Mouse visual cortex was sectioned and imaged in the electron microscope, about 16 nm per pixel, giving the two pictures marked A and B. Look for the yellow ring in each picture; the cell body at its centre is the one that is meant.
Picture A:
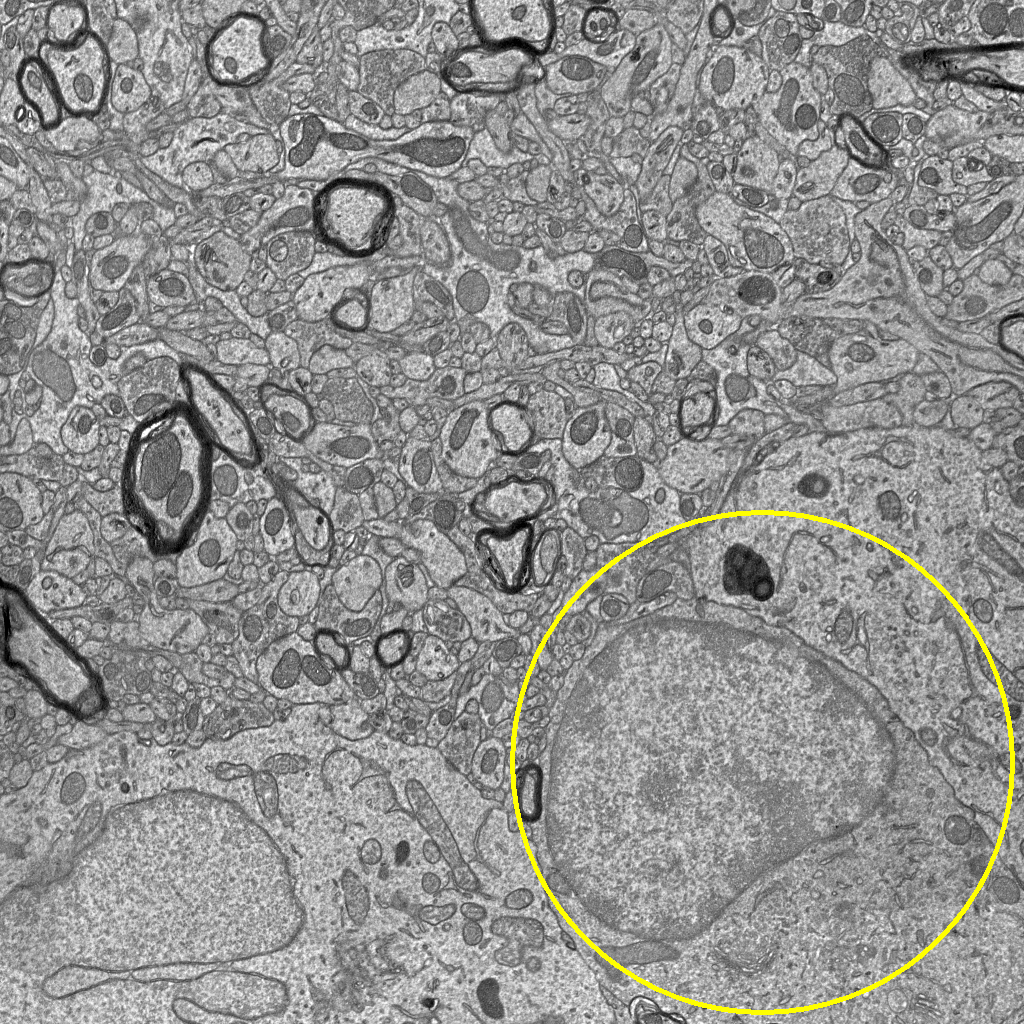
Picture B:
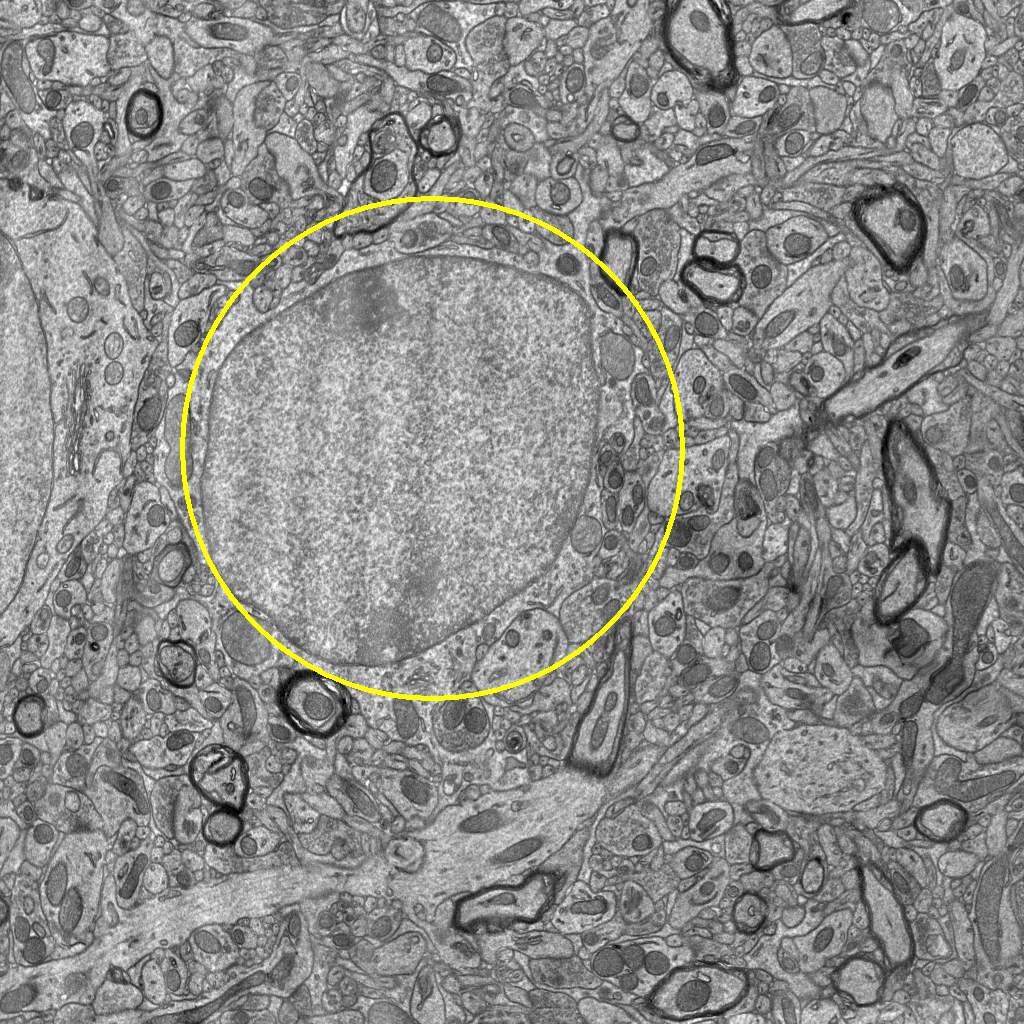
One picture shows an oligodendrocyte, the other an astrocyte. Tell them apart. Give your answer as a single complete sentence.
Picture A is of an oligodendrocyte, and picture B is of an astrocyte.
